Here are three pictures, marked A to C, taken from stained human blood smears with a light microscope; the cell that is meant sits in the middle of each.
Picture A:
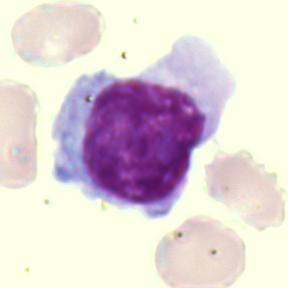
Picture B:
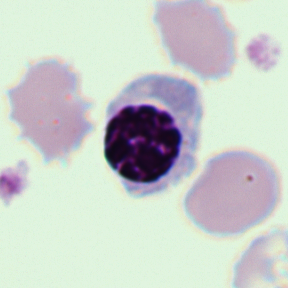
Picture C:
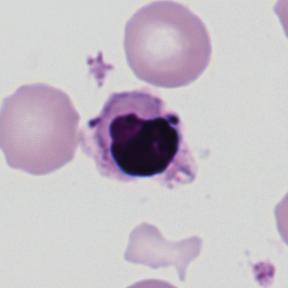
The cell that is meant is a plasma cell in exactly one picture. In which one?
A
